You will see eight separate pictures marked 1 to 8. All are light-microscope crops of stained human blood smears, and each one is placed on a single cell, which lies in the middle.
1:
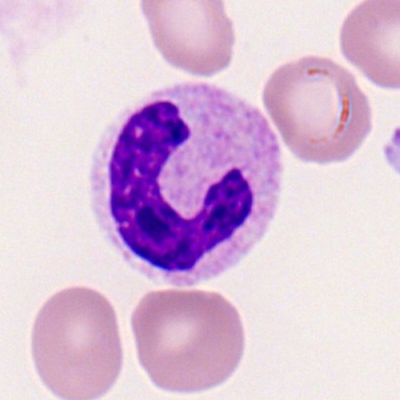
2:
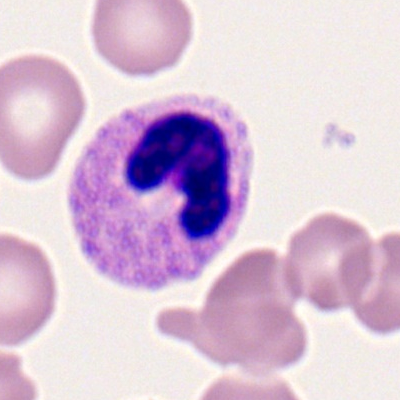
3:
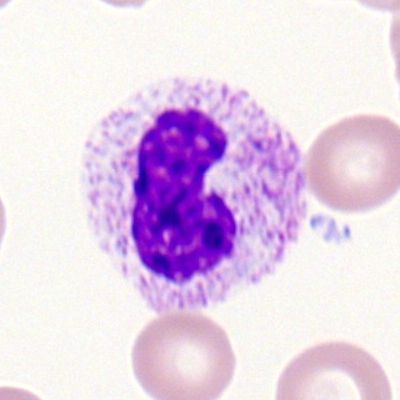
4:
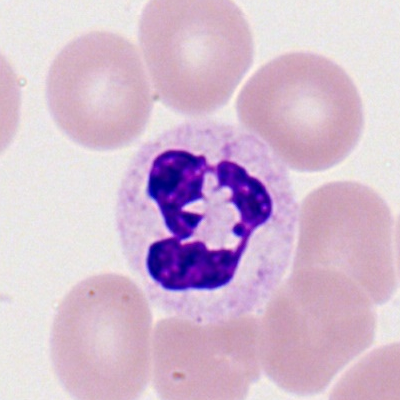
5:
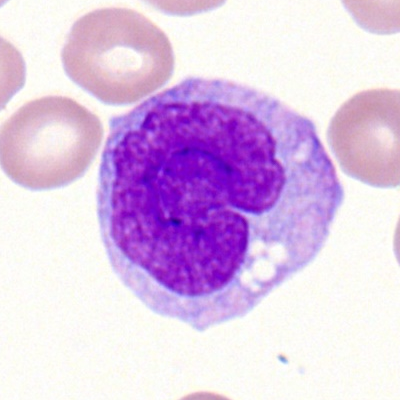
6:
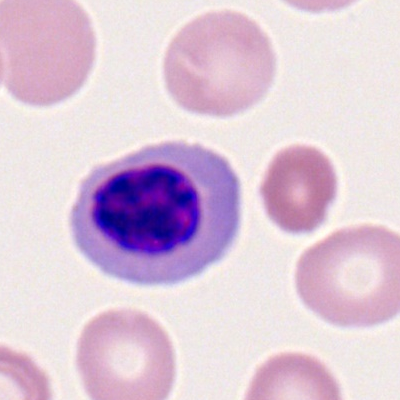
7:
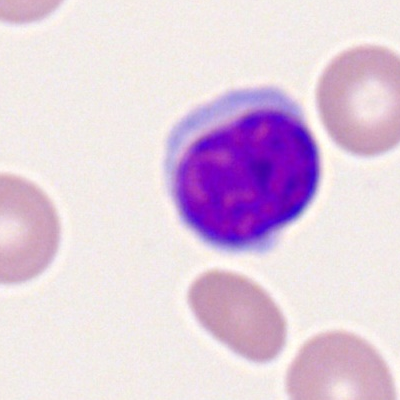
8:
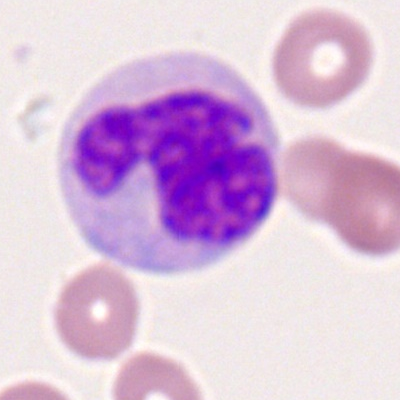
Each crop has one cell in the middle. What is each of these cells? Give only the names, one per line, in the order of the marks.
band neutrophil
segmented neutrophil
band neutrophil
segmented neutrophil
monocyte
normoblast
lymphocyte
monocyte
